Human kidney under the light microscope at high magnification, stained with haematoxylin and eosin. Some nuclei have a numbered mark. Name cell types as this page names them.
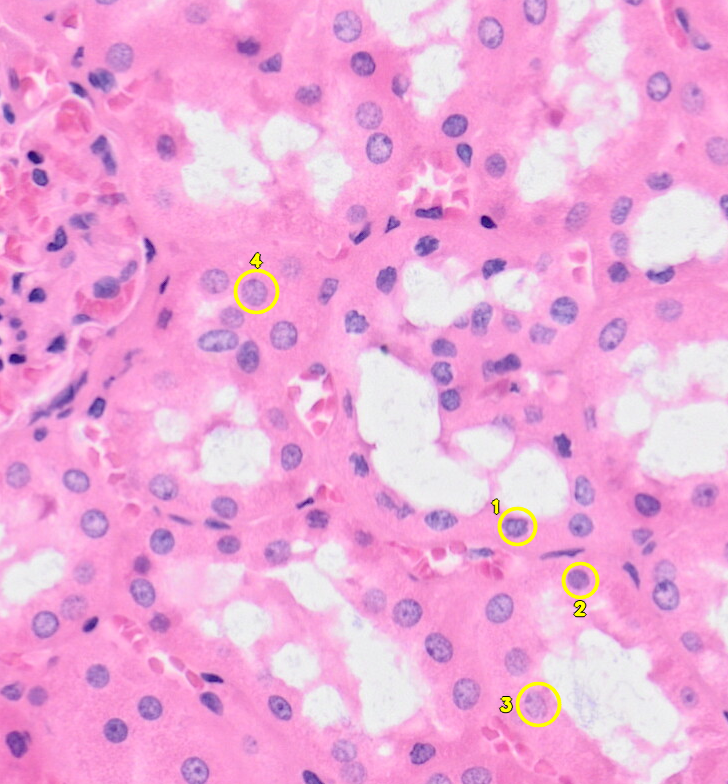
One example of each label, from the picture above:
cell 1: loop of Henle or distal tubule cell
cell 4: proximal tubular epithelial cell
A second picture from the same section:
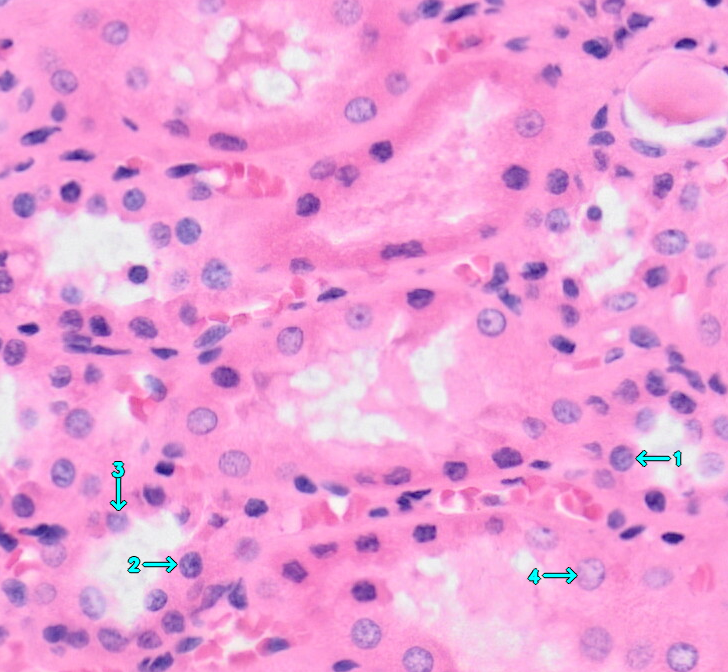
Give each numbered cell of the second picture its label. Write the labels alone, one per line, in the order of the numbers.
loop of Henle or distal tubule cell
loop of Henle or distal tubule cell
loop of Henle or distal tubule cell
proximal tubular epithelial cell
